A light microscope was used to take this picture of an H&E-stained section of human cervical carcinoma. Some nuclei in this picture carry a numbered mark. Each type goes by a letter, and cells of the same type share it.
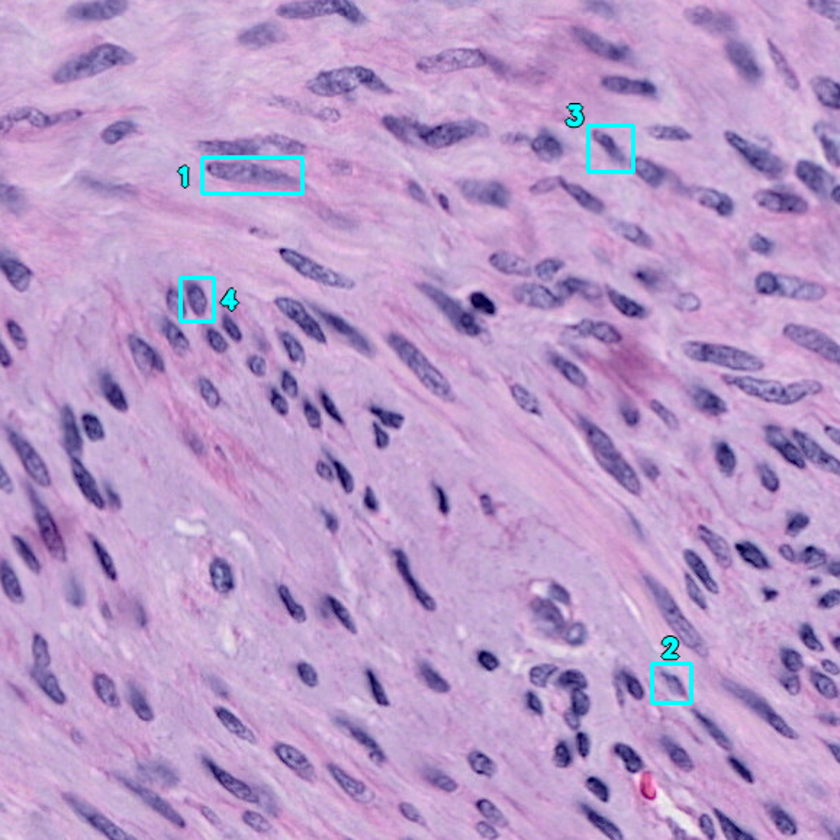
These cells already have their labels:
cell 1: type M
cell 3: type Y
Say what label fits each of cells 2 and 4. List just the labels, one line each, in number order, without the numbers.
type Y
type M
